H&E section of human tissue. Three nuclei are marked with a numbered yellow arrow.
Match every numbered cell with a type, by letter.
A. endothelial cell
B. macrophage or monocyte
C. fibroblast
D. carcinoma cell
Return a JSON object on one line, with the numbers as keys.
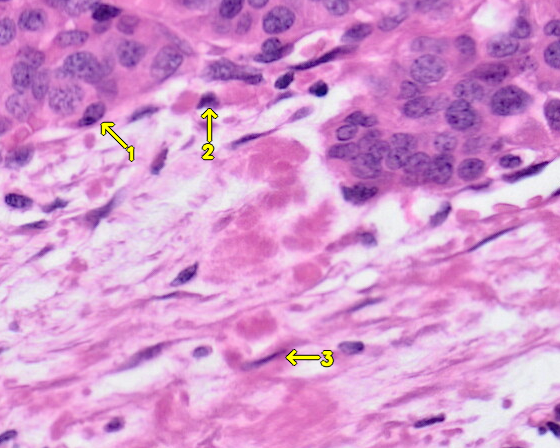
{"1": "B", "2": "C", "3": "C"}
